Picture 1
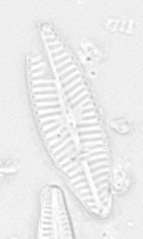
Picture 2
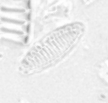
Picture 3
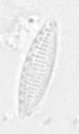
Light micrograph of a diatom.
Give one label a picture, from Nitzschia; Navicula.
Picture 1: Navicula
Picture 2: Nitzschia
Picture 3: Nitzschia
